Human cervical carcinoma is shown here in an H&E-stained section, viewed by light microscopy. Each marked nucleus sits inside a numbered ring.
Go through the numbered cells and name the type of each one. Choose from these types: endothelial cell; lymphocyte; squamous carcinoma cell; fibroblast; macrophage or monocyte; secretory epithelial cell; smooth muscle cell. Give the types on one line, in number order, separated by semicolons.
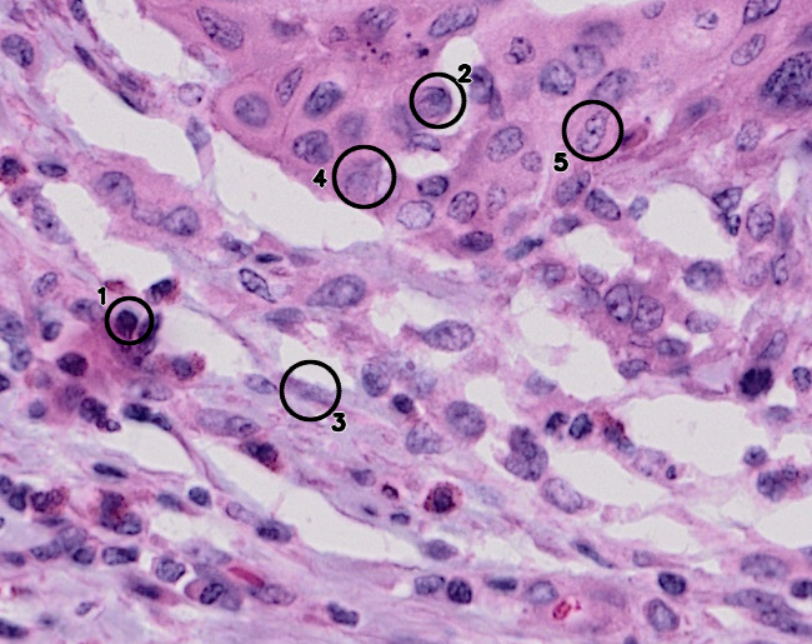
lymphocyte; squamous carcinoma cell; fibroblast; squamous carcinoma cell; squamous carcinoma cell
